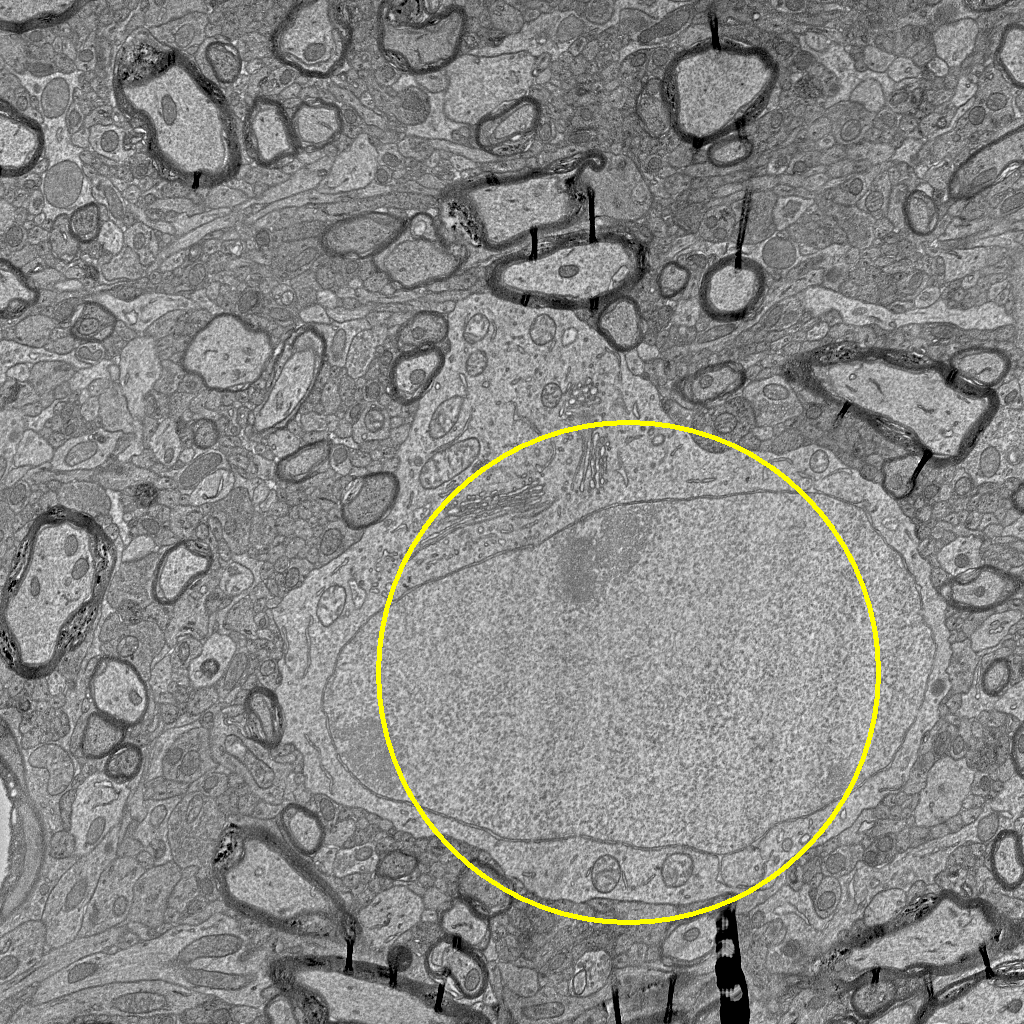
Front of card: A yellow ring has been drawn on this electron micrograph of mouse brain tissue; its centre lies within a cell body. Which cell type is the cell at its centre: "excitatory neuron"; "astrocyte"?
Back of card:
excitatory neuron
